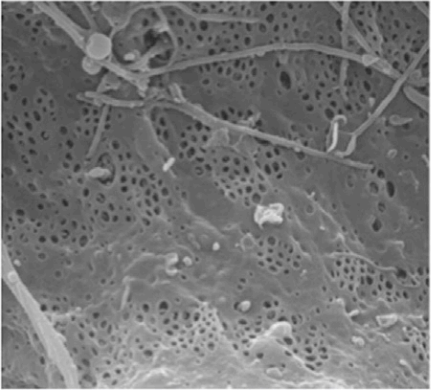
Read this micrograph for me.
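This scanning electron micrograph shows the luminal surface of liver sinusoidal endothelial cells. The thin endothelial sheet is perforated by numerous small round fenestrae, which are grouped in clusters across the surface. A few slender strands and small rounded bodies lie on top of the endothelium.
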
